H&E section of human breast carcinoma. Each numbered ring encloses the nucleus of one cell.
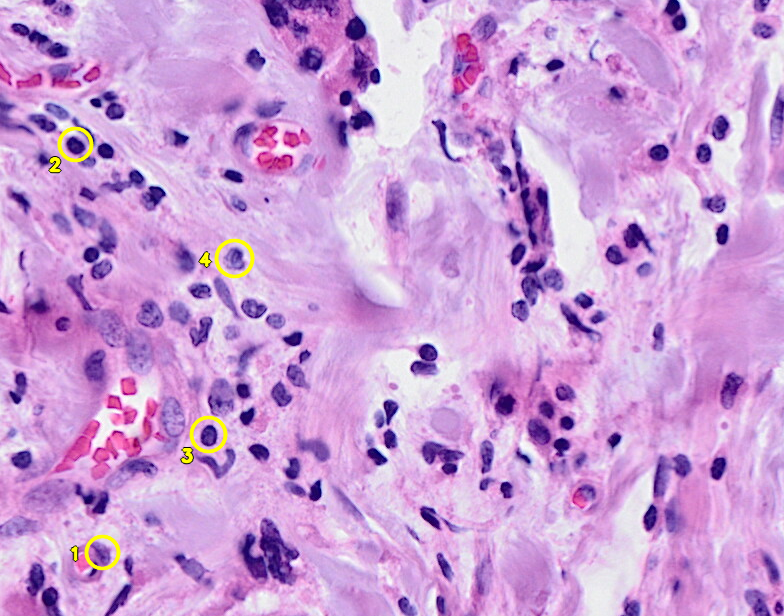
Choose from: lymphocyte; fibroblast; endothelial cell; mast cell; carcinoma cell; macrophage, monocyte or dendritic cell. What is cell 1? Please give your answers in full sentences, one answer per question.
The correct answer for cell 1 is an endothelial cell.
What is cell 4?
The one labeled 4 is a lymphocyte, to put it simply.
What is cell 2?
The cell marked with the number 2 is a lymphocyte.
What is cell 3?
Marked with the number 3, this cell is a lymphocyte.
